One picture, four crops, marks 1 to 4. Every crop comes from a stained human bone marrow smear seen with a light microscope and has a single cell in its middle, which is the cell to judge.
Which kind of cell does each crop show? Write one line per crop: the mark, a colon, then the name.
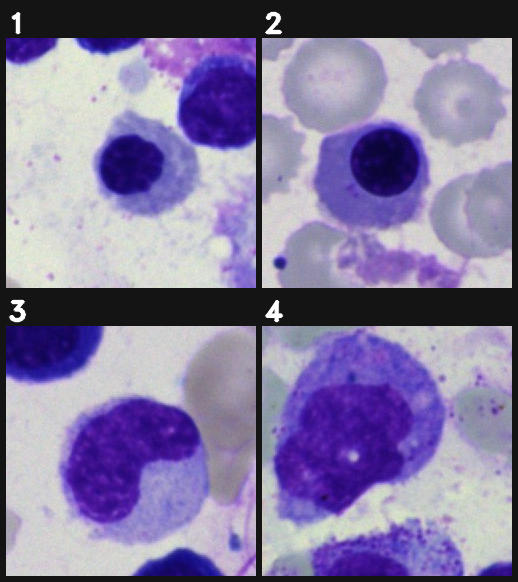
1: erythroblast
2: erythroblast
3: metamyelocyte
4: monocyte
